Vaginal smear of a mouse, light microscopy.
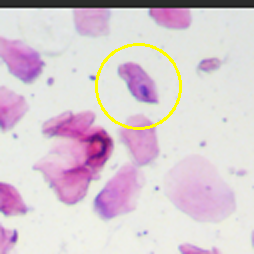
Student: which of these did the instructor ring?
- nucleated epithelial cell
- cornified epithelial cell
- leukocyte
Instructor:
The cell I ringed is a nucleated epithelial cell.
